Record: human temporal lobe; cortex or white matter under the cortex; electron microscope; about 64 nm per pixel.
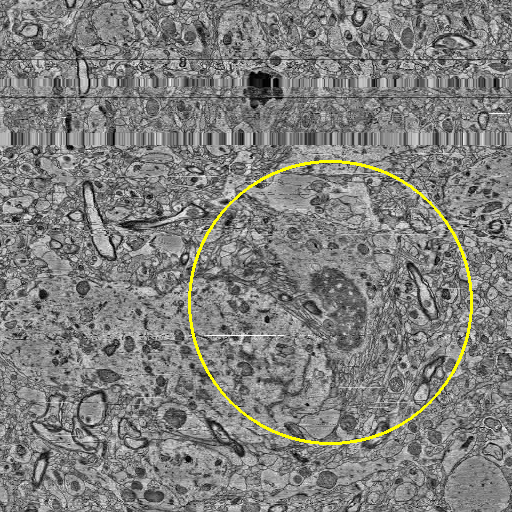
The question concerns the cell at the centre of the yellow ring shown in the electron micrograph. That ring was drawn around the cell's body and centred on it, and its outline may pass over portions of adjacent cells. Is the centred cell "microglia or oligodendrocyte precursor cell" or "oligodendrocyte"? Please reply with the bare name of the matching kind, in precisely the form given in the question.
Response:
oligodendrocyte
